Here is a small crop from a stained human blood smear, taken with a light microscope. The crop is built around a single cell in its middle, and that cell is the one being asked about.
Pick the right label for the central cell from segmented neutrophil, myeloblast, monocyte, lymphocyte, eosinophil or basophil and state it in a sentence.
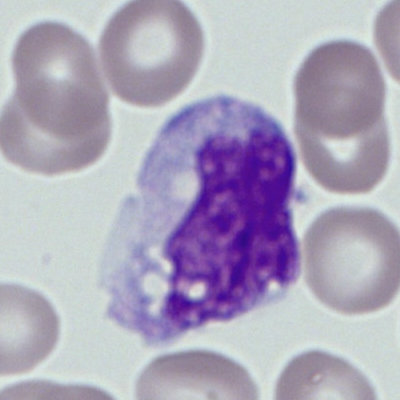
The cell in the exact centre of the crop is a monocyte.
